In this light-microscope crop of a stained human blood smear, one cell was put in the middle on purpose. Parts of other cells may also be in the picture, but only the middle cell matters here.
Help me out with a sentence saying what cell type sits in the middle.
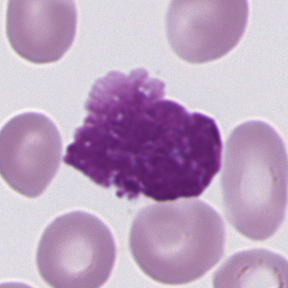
The central element of this crop is a cell, namely a smudge cell.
